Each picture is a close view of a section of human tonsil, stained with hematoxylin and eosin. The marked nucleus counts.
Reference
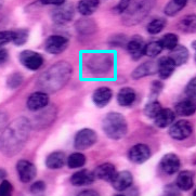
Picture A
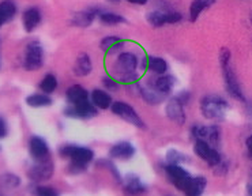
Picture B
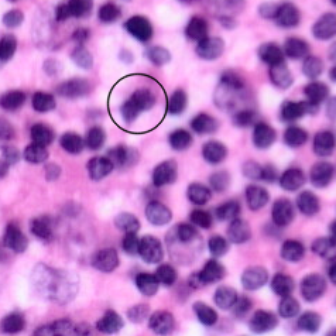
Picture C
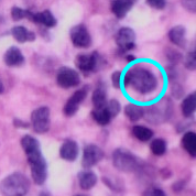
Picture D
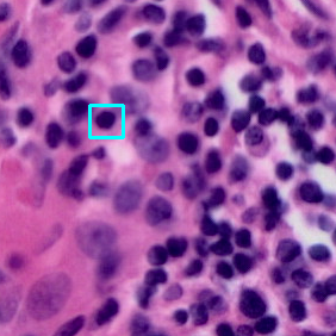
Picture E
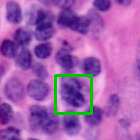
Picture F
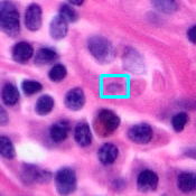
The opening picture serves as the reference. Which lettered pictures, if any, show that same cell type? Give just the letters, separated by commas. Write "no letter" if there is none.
A, D, F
